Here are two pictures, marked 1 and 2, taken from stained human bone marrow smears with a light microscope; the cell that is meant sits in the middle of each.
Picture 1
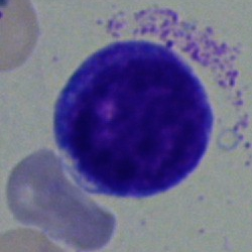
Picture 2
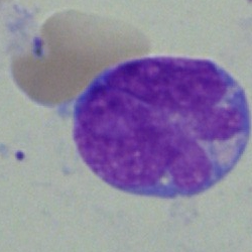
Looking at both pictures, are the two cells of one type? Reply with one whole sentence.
Yes; the cells in both pictures are blasts.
